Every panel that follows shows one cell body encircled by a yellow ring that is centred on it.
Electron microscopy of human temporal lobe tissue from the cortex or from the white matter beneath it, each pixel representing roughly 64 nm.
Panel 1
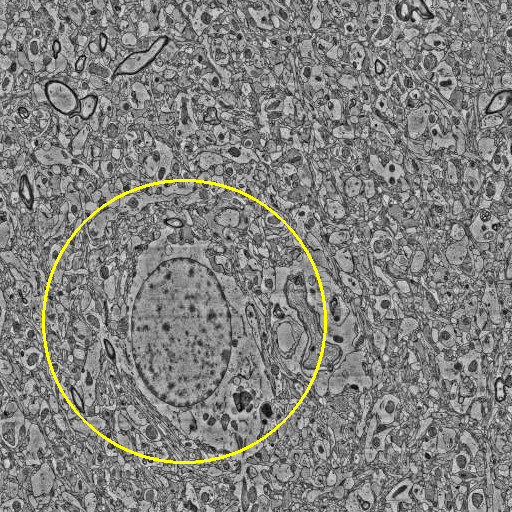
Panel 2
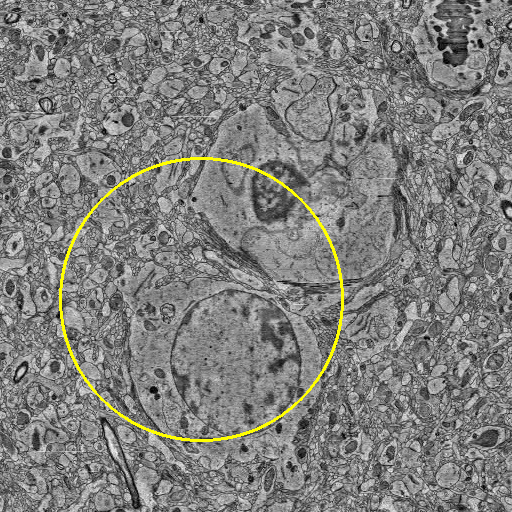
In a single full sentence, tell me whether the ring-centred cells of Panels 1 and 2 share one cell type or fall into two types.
In Panel 1 and Panel 2, the cells at the ring centres share one cell type.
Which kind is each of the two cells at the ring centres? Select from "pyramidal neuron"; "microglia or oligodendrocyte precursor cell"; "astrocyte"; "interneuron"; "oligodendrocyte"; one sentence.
The cell at the ring centre is an astrocyte in both pictures.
